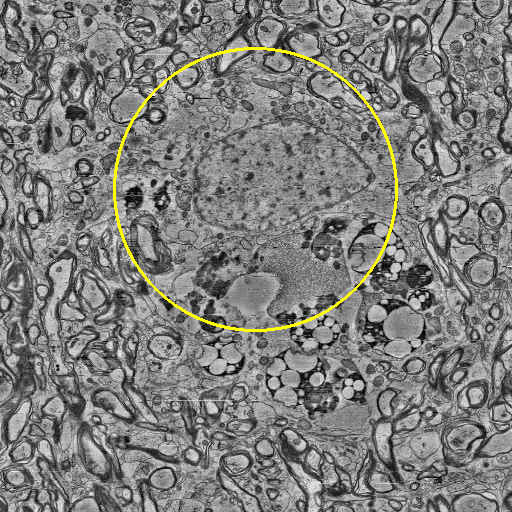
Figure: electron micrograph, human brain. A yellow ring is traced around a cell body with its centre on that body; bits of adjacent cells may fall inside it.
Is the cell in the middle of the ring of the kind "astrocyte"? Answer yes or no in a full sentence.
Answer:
Yes, that kind applies to the cell centred within the yellow ring of the picture.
